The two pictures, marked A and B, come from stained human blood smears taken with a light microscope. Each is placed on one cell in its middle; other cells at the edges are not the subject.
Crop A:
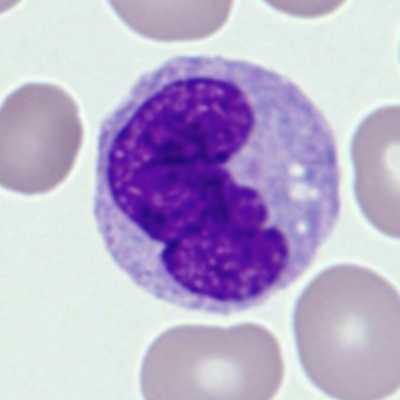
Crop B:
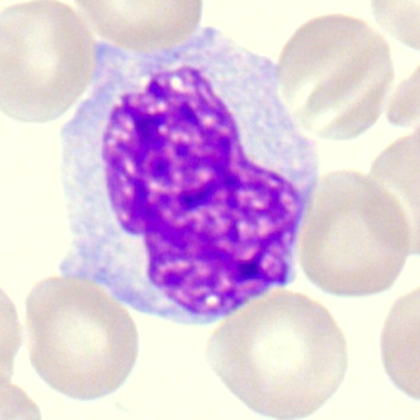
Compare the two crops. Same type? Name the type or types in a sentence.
Yes, the middle cells in the two crops are monocytes.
